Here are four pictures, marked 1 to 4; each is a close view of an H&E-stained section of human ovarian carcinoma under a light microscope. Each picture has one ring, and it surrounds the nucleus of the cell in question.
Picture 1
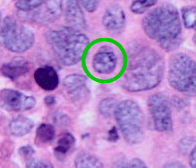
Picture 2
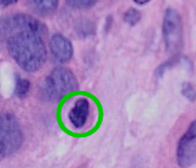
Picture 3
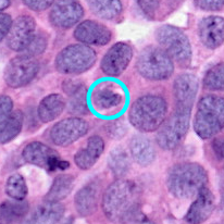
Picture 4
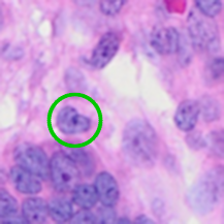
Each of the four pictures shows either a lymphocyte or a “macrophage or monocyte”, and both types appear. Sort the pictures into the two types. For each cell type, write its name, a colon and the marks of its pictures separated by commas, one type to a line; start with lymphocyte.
lymphocyte: 2
macrophage or monocyte: 1, 3, 4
